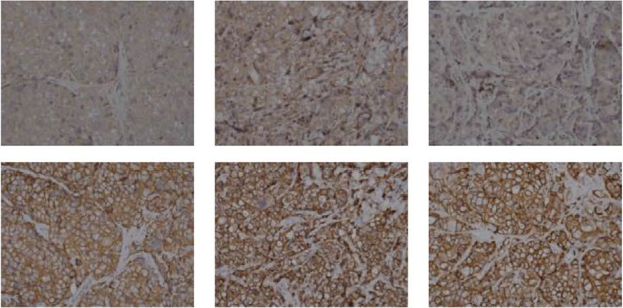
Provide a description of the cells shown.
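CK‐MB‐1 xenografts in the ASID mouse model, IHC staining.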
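These are sections of a solid tumour made of closely packed sheets of polygonal tumour cells, divided by thin, pale strands of stroma. In the top row the tumour cells stay mostly pale, with only faint, diffuse brownish tone and no distinct dark nuclear staining. In the bottom row a strong brown stain outlines the borders of nearly every tumour cell, giving a honeycomb or chicken-wire pattern around paler cell centres. The pale stromal strands between the cell sheets are unstained in both rows.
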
